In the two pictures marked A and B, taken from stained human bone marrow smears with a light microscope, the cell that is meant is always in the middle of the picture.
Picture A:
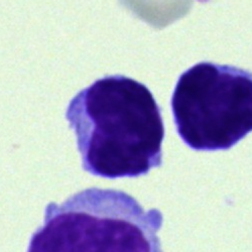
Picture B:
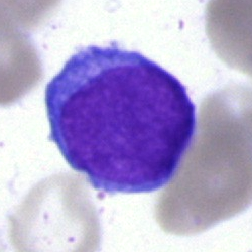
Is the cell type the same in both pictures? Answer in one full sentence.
No, picture A shows a lymphocyte and picture B shows a blast.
